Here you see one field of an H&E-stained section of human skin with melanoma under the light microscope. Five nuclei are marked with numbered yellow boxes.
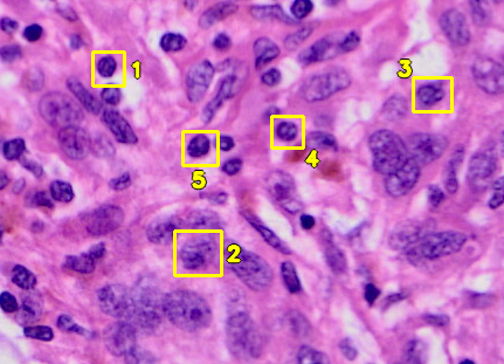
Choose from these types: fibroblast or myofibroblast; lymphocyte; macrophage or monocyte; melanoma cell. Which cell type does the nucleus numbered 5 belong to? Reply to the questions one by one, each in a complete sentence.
The cell referred to as 5 is a lymphocyte.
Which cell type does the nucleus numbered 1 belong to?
Belonging to a lymphocyte is the nucleus that carries the number 1.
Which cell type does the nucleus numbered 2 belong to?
The cell marked with the number 2 is a melanoma cell.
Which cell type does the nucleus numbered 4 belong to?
The cell whose nucleus carries the number 4 is a lymphocyte.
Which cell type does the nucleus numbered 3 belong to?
Number 3 is placed on a melanoma cell here.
